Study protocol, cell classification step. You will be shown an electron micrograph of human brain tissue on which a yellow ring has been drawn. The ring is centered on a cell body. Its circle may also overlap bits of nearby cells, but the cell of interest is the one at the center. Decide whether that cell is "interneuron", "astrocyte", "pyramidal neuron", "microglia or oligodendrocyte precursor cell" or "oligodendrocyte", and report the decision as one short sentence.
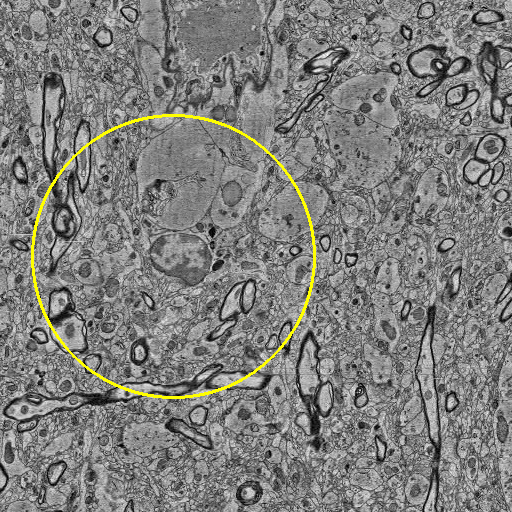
The marked cell is a microglial cell or oligodendrocyte precursor cell.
